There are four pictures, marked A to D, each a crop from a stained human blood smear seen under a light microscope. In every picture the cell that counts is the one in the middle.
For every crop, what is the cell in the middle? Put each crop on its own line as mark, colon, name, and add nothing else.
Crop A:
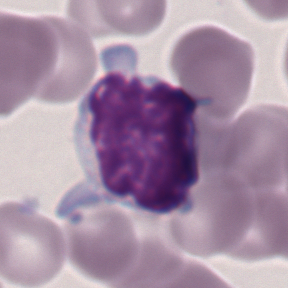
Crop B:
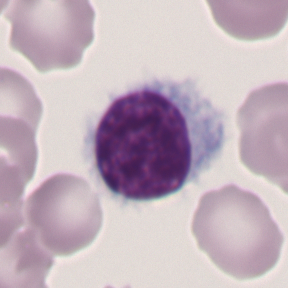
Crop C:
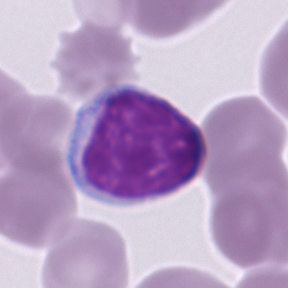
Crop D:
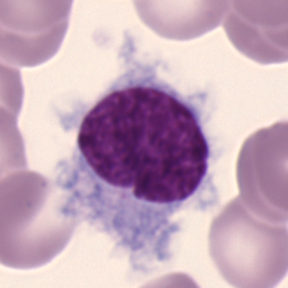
A: large granular lymphocyte
B: hairy cell
C: large granular lymphocyte
D: hairy cell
